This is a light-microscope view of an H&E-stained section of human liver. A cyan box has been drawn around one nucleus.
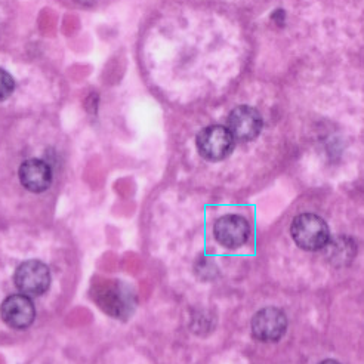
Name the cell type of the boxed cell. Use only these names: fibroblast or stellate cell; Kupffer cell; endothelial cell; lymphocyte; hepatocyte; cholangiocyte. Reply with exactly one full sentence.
Students should answer that the boxed cell is a hepatocyte.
